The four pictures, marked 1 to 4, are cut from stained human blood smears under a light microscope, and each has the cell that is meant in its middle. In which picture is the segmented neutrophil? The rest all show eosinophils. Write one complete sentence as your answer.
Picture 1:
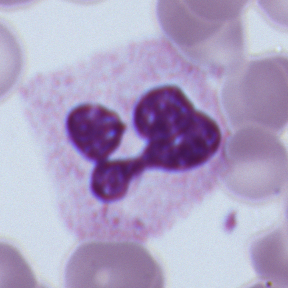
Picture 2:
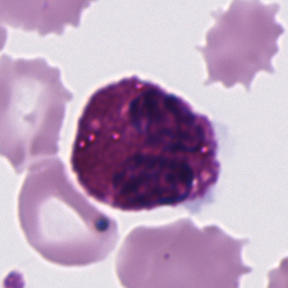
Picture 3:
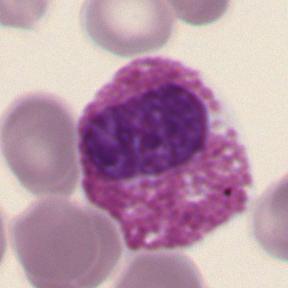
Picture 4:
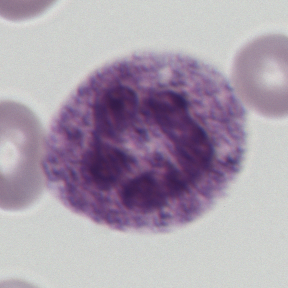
It is picture 1 that shows the segmented neutrophil.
